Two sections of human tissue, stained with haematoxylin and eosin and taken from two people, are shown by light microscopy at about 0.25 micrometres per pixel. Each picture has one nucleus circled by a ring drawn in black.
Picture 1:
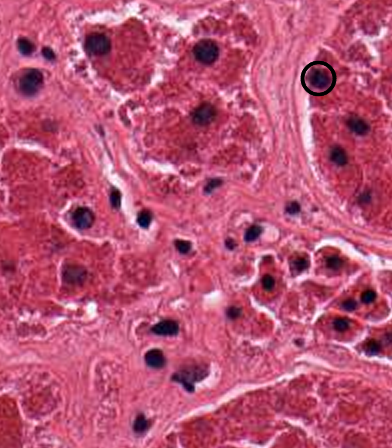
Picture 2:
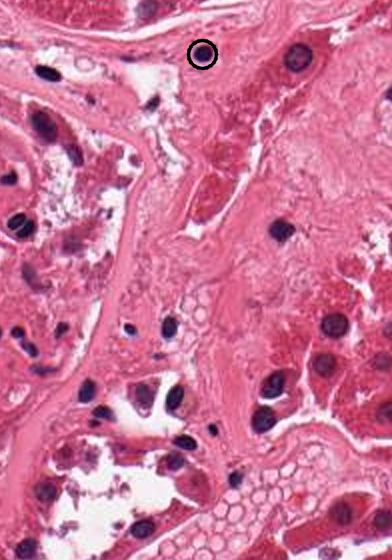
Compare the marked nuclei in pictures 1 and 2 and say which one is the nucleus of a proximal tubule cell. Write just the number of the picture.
1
